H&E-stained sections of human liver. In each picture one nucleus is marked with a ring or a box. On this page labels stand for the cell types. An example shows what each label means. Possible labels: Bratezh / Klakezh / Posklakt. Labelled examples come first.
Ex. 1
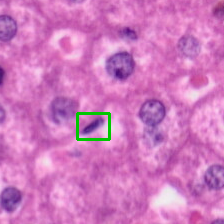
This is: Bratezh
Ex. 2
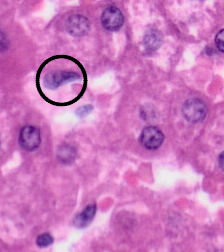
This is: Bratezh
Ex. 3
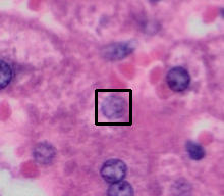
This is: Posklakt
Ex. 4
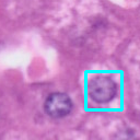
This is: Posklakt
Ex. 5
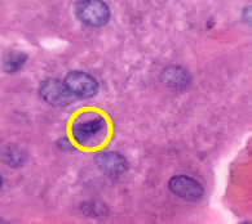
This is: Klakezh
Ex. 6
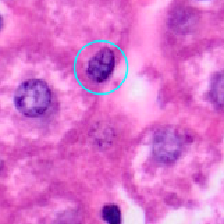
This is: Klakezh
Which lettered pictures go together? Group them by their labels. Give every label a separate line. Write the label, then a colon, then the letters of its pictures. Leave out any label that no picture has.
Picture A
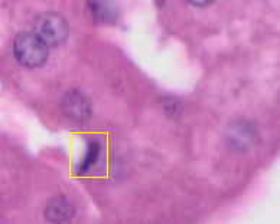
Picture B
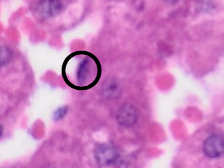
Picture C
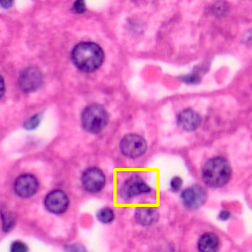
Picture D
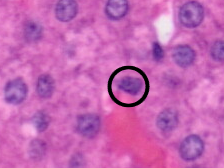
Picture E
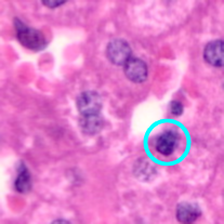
Klakezh: A, B, C, D, E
